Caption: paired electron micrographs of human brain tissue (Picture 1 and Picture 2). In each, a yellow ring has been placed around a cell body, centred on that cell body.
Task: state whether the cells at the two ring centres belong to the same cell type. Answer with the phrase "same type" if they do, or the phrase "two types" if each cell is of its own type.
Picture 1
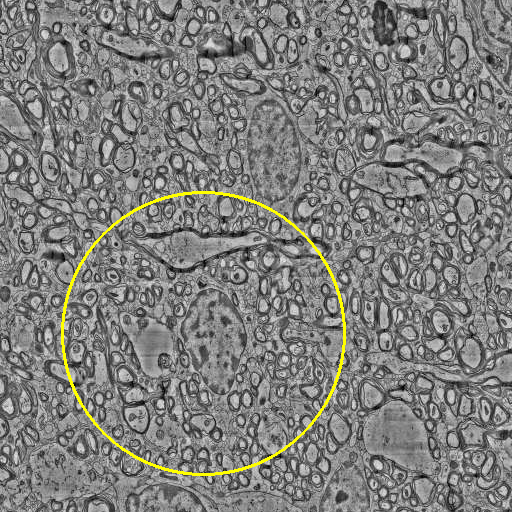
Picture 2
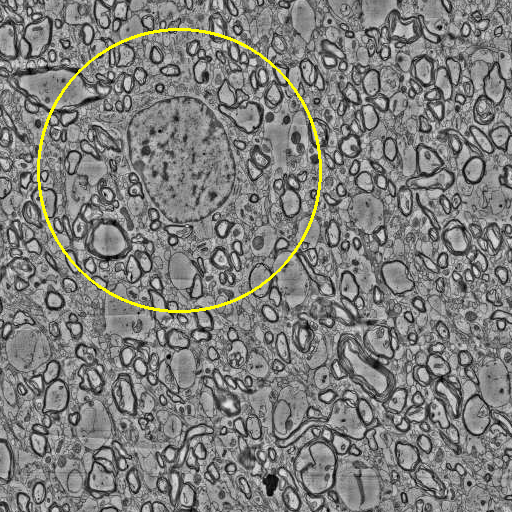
same type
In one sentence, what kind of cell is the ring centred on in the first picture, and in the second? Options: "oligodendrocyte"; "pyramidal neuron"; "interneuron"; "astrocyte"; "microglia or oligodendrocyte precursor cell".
Both cells are the same kind, each one being a microglial cell or oligodendrocyte precursor cell.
